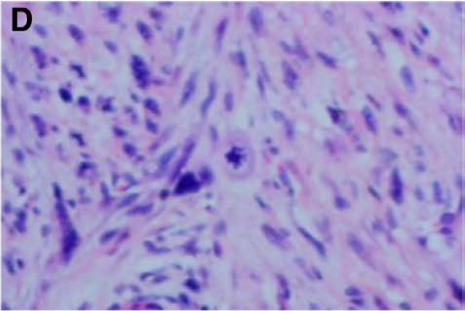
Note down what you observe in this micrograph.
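This is a higher view of a spindle cell tumor with cells in fascicles set in pink, eosinophilic cytoplasm. Many nuclei are elongated and cigar-shaped, aligned along the bundles, but they vary clearly in size and shape: several are enlarged, dark-staining and irregular, some angular or bizarre, standing out against the smaller spindle nuclei. The cytoplasm is abundant and pink, with indistinct cell borders.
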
